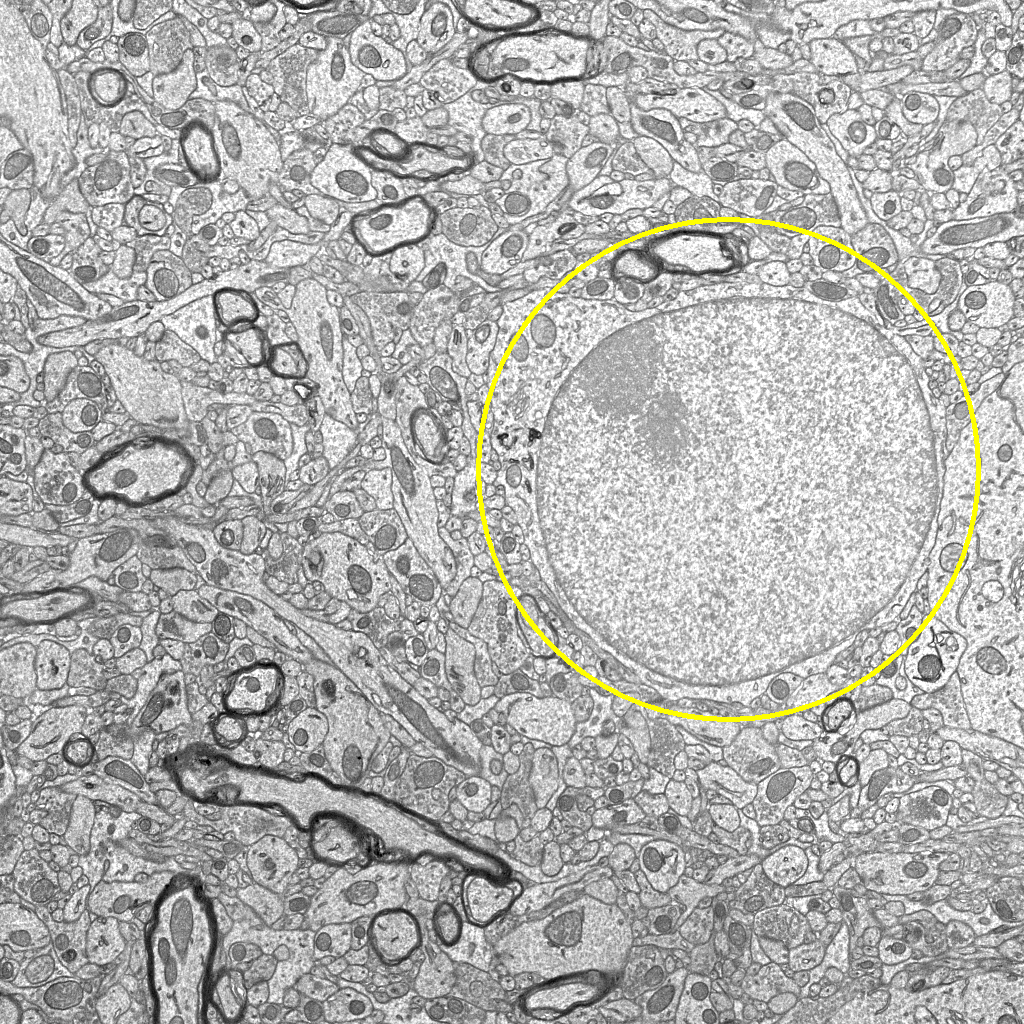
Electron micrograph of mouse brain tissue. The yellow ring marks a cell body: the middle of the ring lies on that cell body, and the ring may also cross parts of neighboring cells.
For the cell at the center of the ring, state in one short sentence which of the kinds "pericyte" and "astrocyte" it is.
This ring's center lies on an astrocyte.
